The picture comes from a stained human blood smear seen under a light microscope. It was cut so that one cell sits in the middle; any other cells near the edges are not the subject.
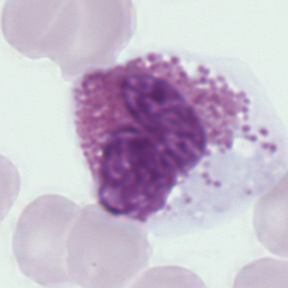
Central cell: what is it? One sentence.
In this smear crop, the middle cell is an eosinophil.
